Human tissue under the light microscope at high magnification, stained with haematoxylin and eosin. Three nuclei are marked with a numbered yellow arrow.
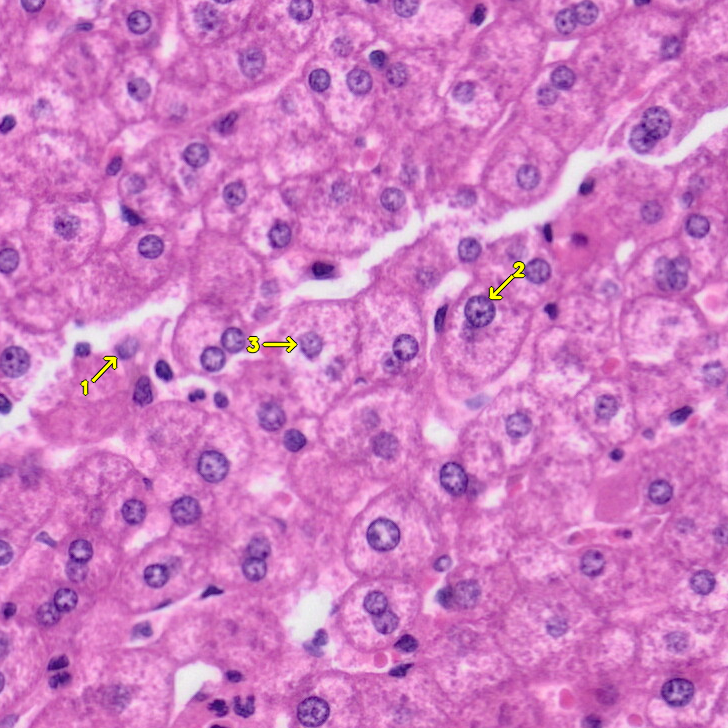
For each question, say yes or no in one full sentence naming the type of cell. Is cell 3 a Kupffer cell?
No, the cell carrying number 3 is a hepatocyte, not a Kupffer cell.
